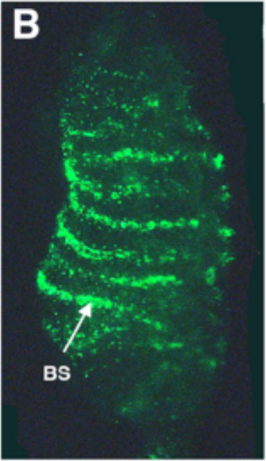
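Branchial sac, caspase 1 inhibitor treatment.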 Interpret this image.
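Small bright green nuclei-sized dots are gathered into a series of roughly parallel, slightly curved transverse stripes that run across the width of the organ, stacked one above another from top to bottom. Each stripe is a narrow band of densely packed dots. In the spaces between stripes, fainter and more scattered green dots are present. The outline of the organ is visible against a dark background, with the stripes reaching close to its edges.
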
